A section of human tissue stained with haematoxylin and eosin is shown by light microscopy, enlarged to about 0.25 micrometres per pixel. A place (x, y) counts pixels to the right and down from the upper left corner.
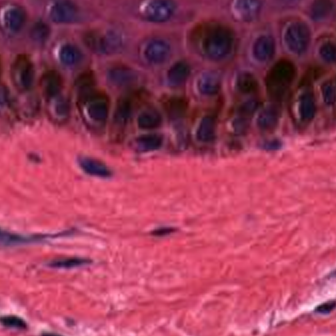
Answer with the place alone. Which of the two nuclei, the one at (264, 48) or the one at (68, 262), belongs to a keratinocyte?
(264, 48)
